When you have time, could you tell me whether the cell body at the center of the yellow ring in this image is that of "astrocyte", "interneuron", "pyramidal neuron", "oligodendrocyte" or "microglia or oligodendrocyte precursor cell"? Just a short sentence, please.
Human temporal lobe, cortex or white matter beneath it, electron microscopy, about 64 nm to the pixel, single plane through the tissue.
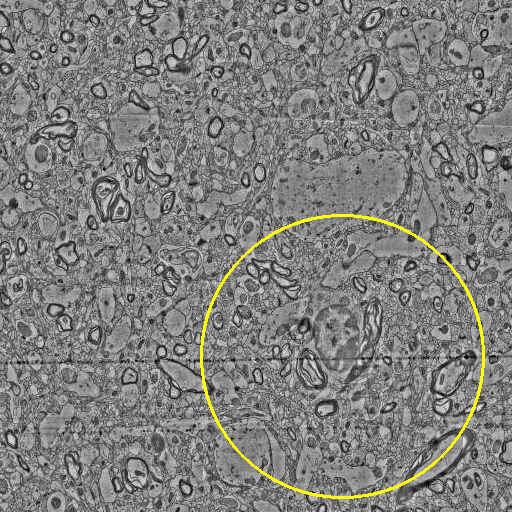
The cell body at the center of the ring is that of an oligodendrocyte.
